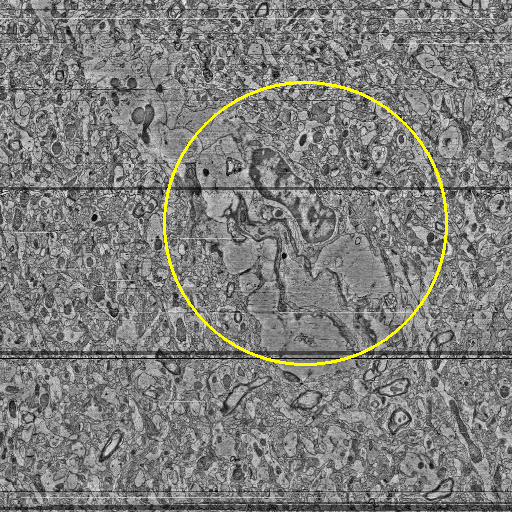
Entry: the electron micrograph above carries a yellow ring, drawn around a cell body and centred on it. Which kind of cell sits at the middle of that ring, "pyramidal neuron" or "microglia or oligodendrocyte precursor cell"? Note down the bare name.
microglia or oligodendrocyte precursor cell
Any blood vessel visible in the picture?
Yes, a blood vessel shows in the picture.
